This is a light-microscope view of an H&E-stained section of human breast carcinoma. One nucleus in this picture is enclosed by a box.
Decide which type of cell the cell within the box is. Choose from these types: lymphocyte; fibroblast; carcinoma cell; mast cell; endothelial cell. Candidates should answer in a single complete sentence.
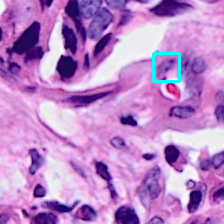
Speaking plainly, the cell within the box is nothing other than an endothelial cell.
